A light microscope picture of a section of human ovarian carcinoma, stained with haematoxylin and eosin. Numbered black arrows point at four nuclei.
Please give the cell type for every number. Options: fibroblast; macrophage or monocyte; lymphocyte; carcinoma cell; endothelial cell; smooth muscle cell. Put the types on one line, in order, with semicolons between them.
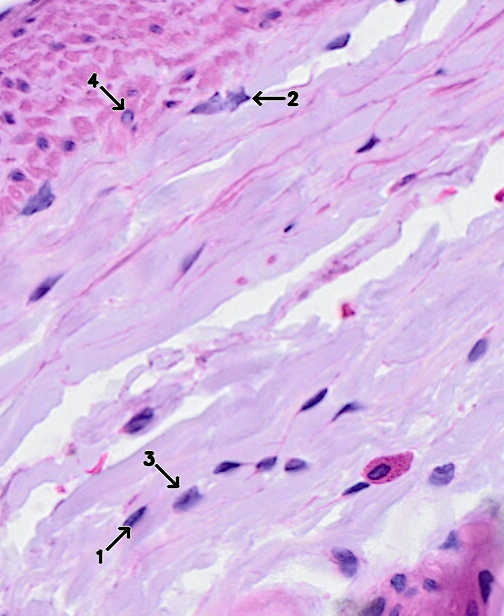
fibroblast; fibroblast; fibroblast; smooth muscle cell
